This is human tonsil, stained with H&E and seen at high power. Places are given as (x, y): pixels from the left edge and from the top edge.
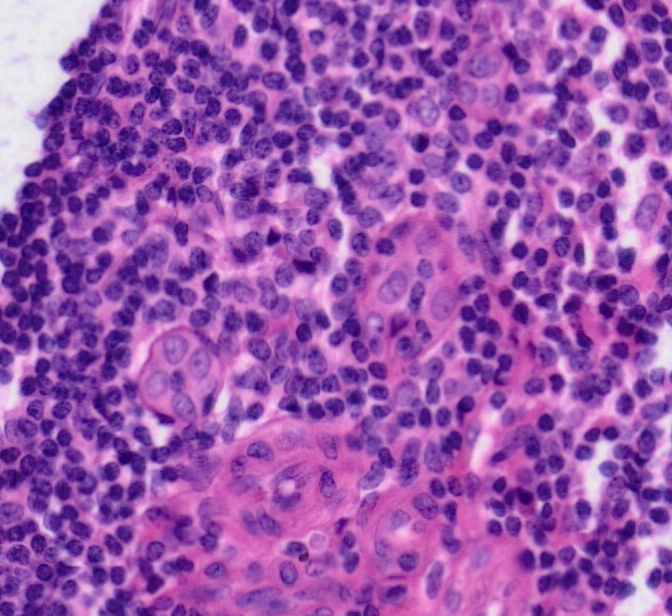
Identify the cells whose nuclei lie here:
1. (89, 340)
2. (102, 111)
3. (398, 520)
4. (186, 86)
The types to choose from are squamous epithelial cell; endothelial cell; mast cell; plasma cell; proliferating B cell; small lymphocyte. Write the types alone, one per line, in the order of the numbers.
small lymphocyte
small lymphocyte
endothelial cell
small lymphocyte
